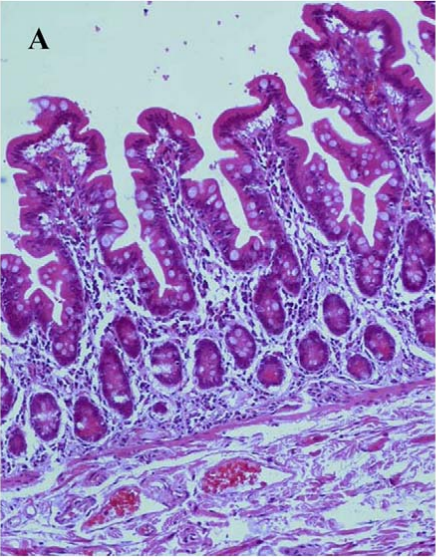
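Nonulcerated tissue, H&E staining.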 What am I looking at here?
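Small intestinal mucosa with tall, slender finger-like villi projecting into the lumen. Each villus is covered by a single layer of columnar epithelial cells with pink cytoplasm and basal nuclei, interspersed with many pale, rounded goblet cells. The villus cores contain loose lamina propria with scattered nuclei. Beneath the crypts a thin band of smooth muscle separates the mucosa from a loose, pale submucosa containing blood vessels filled with red blood cells.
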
